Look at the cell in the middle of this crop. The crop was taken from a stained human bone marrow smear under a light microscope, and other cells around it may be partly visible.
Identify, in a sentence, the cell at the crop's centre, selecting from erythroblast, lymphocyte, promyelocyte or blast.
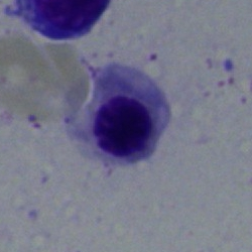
The central cell shown in this smear crop is an erythroblast.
